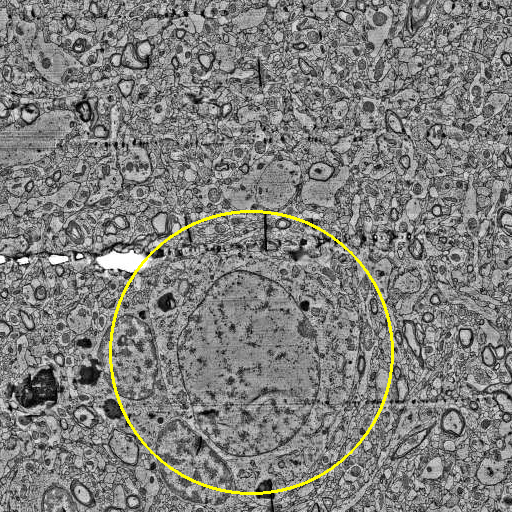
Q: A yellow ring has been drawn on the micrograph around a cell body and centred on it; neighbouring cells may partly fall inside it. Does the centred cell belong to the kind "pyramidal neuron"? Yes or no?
Yes, it belongs to that kind.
